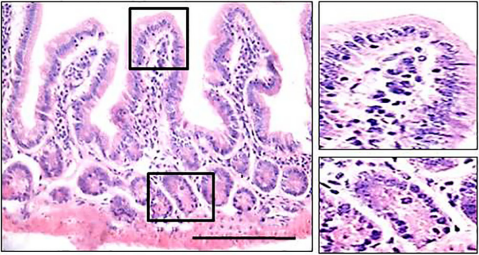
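This section of small intestinal mucosa shows tall, finger-like villi covered by a single layer of columnar epithelium with purple, elongated nuclei lined up near the base of the cells. Each villus has a core of loose connective tissue with scattered nuclei. At the bottom of the mucosa, round crypts lined by columnar cells sit closely above a thin pink band of smooth muscle. The enlarged insets show a villus tip and a crypt in more detail.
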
